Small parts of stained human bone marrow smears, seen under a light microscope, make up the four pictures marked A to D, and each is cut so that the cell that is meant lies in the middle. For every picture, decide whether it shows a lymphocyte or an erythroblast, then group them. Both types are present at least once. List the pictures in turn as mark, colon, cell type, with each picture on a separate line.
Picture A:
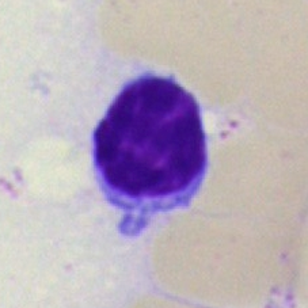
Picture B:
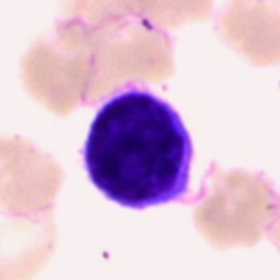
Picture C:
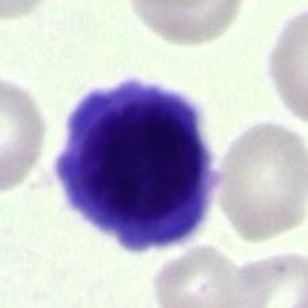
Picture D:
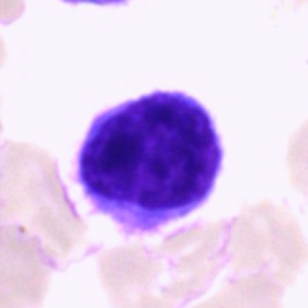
A: lymphocyte
B: lymphocyte
C: erythroblast
D: lymphocyte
